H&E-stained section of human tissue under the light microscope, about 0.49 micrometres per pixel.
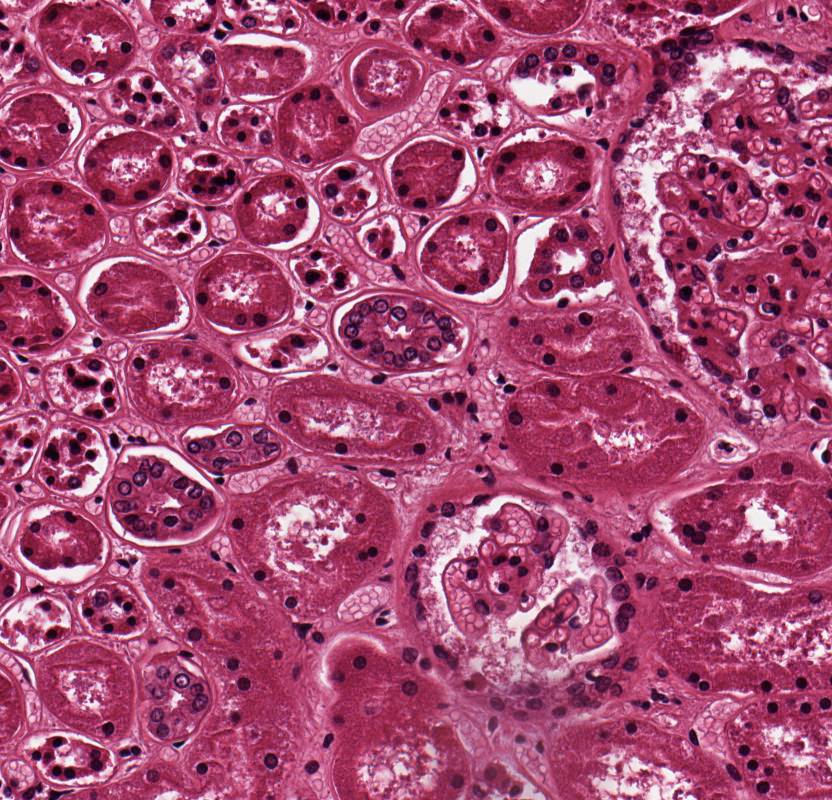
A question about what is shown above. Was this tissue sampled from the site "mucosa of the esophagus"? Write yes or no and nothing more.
no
